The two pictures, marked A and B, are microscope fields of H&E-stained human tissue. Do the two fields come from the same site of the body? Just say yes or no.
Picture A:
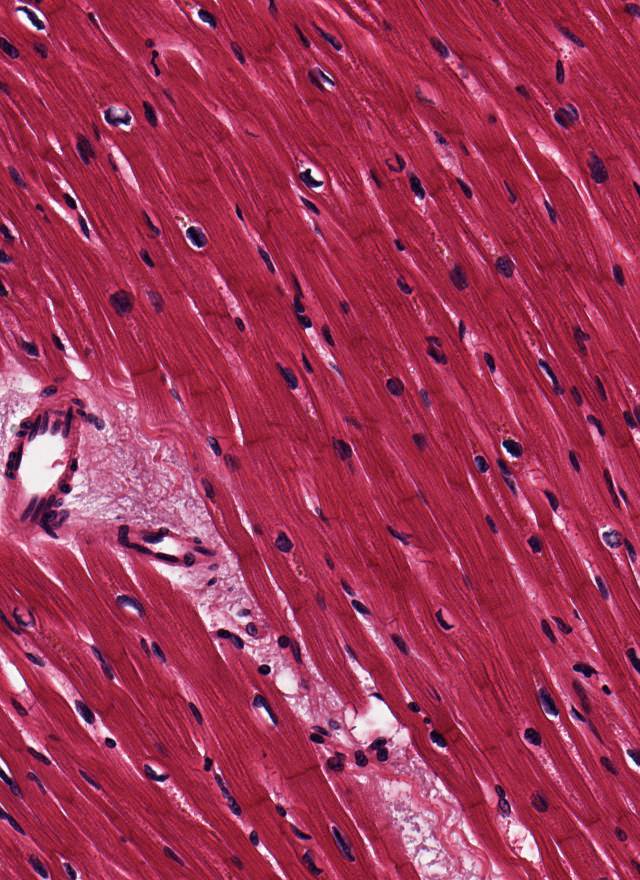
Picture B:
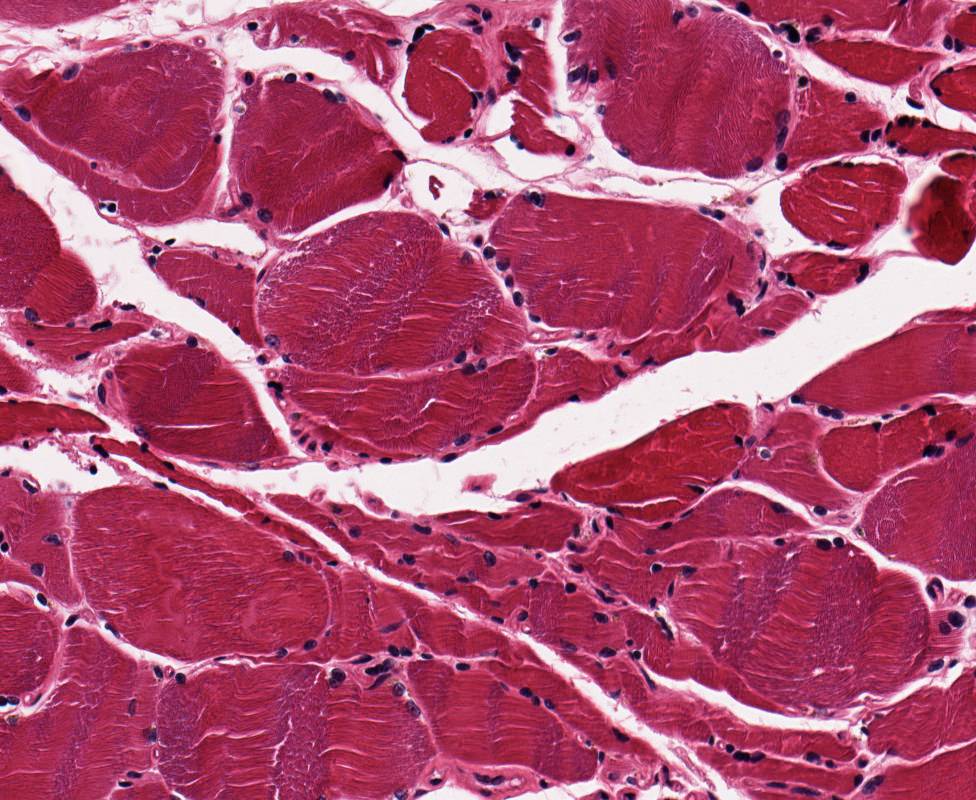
no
